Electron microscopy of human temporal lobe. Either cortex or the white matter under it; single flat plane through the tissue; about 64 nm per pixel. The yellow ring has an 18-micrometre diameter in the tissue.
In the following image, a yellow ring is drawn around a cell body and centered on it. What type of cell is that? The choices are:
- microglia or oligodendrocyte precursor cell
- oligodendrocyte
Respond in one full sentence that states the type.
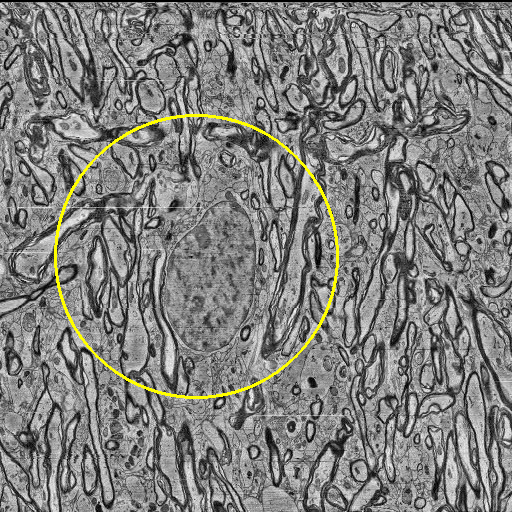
The cell at the center of the yellow ring in the image is a microglial cell or oligodendrocyte precursor cell.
